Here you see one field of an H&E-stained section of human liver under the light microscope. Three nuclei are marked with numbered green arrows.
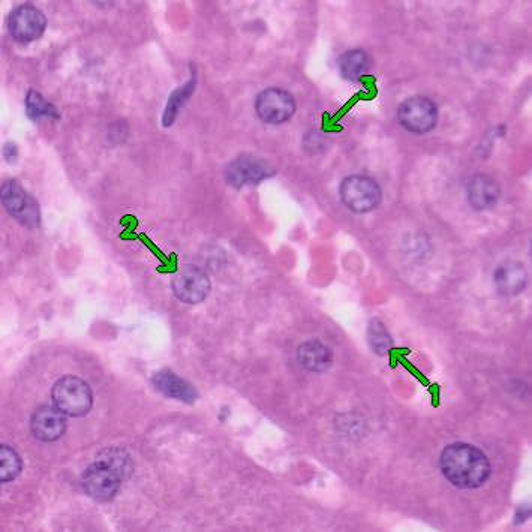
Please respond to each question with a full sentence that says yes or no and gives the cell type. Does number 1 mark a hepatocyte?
No, cell 1 is identified not as a hepatocyte but as a Kupffer cell.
